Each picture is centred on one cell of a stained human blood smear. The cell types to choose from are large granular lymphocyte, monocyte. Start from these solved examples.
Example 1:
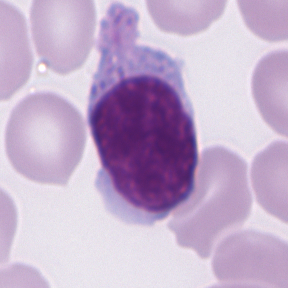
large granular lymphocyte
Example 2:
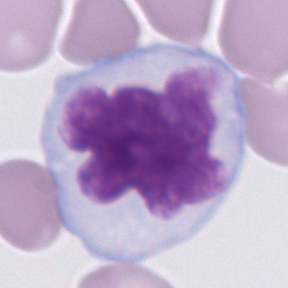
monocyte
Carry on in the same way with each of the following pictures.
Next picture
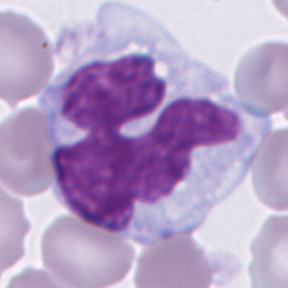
monocyte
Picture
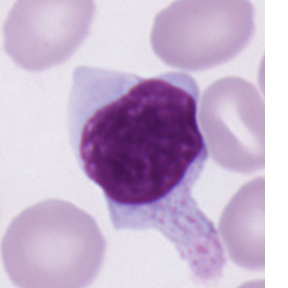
large granular lymphocyte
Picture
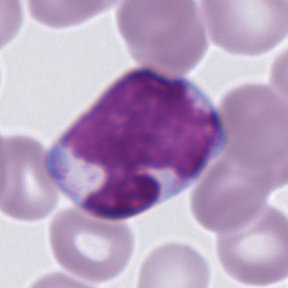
large granular lymphocyte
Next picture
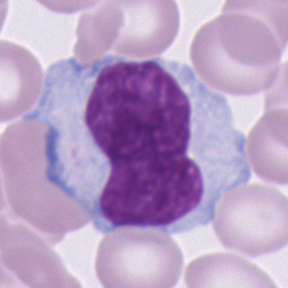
monocyte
